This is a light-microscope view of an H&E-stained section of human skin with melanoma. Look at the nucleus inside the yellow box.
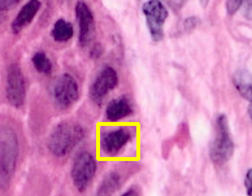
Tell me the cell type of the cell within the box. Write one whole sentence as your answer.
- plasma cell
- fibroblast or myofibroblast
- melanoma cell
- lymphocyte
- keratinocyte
On this particular slide, the cell within the box is a keratinocyte.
